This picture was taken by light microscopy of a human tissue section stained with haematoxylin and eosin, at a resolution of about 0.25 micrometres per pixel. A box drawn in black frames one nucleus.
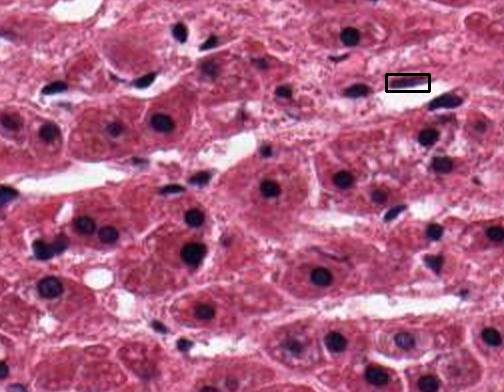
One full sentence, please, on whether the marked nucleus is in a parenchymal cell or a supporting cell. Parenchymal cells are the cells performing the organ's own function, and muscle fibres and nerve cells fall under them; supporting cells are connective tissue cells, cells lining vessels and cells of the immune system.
It is a supporting cell that holds the marked nucleus.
